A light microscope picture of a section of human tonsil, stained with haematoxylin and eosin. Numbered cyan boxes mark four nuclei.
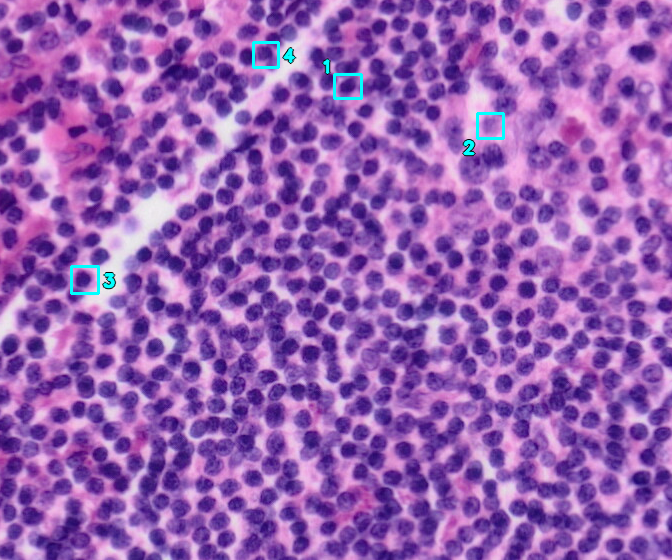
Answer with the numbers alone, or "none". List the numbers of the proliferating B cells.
2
